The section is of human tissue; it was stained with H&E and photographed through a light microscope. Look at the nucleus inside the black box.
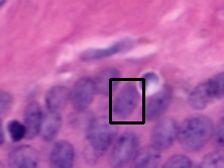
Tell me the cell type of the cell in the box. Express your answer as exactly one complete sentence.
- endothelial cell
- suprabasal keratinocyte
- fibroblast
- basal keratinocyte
In this section of tissue, the cell in the box is a basal keratinocyte.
